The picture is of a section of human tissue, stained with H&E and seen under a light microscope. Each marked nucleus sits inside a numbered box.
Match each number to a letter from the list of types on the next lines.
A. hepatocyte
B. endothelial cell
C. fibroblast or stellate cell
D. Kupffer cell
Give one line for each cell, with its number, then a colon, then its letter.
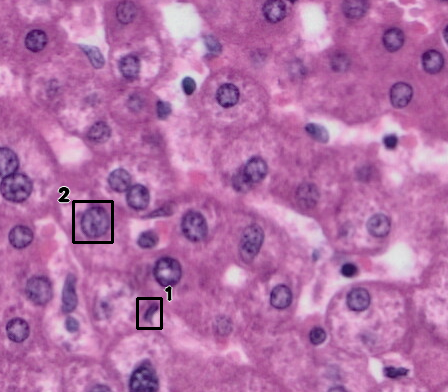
1: B
2: A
